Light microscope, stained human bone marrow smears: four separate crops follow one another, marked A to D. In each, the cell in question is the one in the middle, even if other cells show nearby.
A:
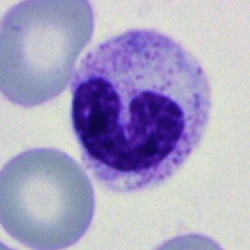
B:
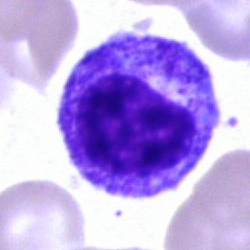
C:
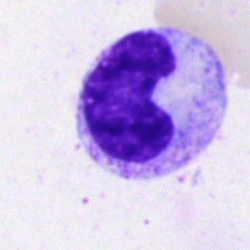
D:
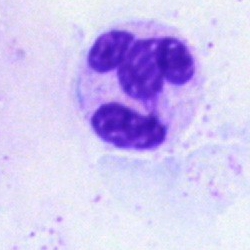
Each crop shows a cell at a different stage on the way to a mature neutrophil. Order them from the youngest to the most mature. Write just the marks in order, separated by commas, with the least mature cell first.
B, C, A, D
